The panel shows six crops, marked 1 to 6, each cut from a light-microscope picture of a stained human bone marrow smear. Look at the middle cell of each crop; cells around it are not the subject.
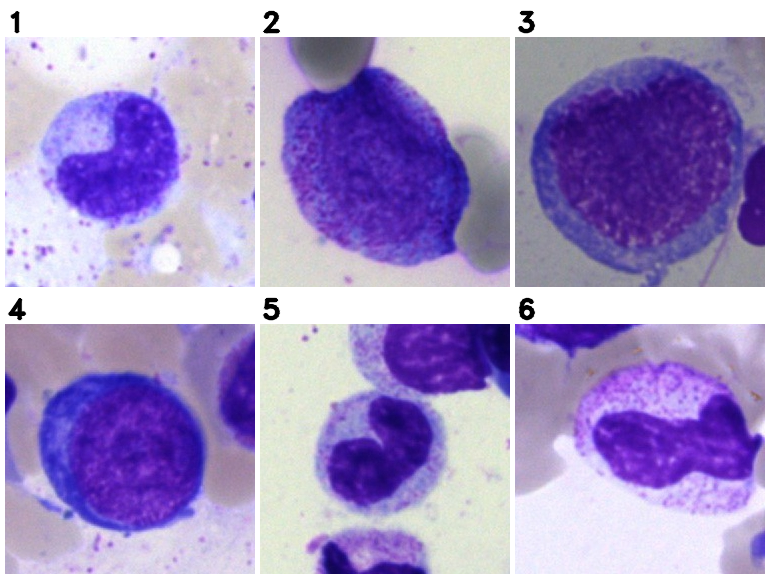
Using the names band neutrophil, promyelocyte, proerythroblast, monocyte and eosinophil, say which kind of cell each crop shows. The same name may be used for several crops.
1: band neutrophil
2: promyelocyte
3: proerythroblast
4: proerythroblast
5: band neutrophil
6: band neutrophil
